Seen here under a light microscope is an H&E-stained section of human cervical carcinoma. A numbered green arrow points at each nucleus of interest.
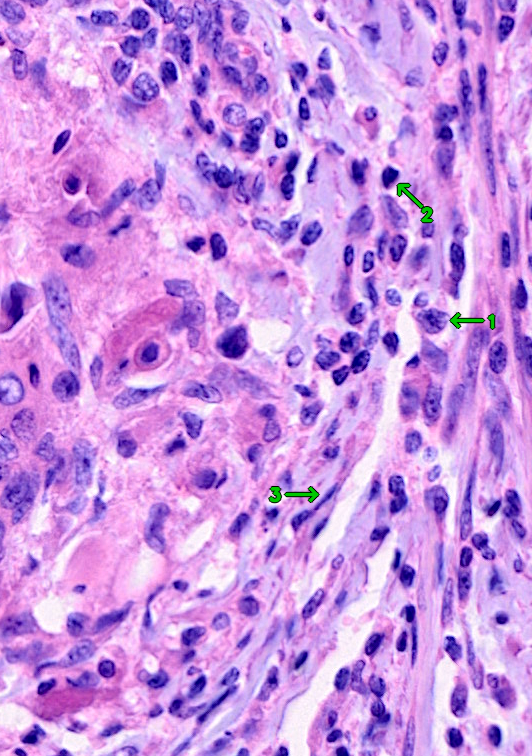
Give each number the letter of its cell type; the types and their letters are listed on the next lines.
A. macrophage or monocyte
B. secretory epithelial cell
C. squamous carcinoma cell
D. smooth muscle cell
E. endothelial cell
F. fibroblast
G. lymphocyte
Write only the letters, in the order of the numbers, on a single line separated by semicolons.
A; G; F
